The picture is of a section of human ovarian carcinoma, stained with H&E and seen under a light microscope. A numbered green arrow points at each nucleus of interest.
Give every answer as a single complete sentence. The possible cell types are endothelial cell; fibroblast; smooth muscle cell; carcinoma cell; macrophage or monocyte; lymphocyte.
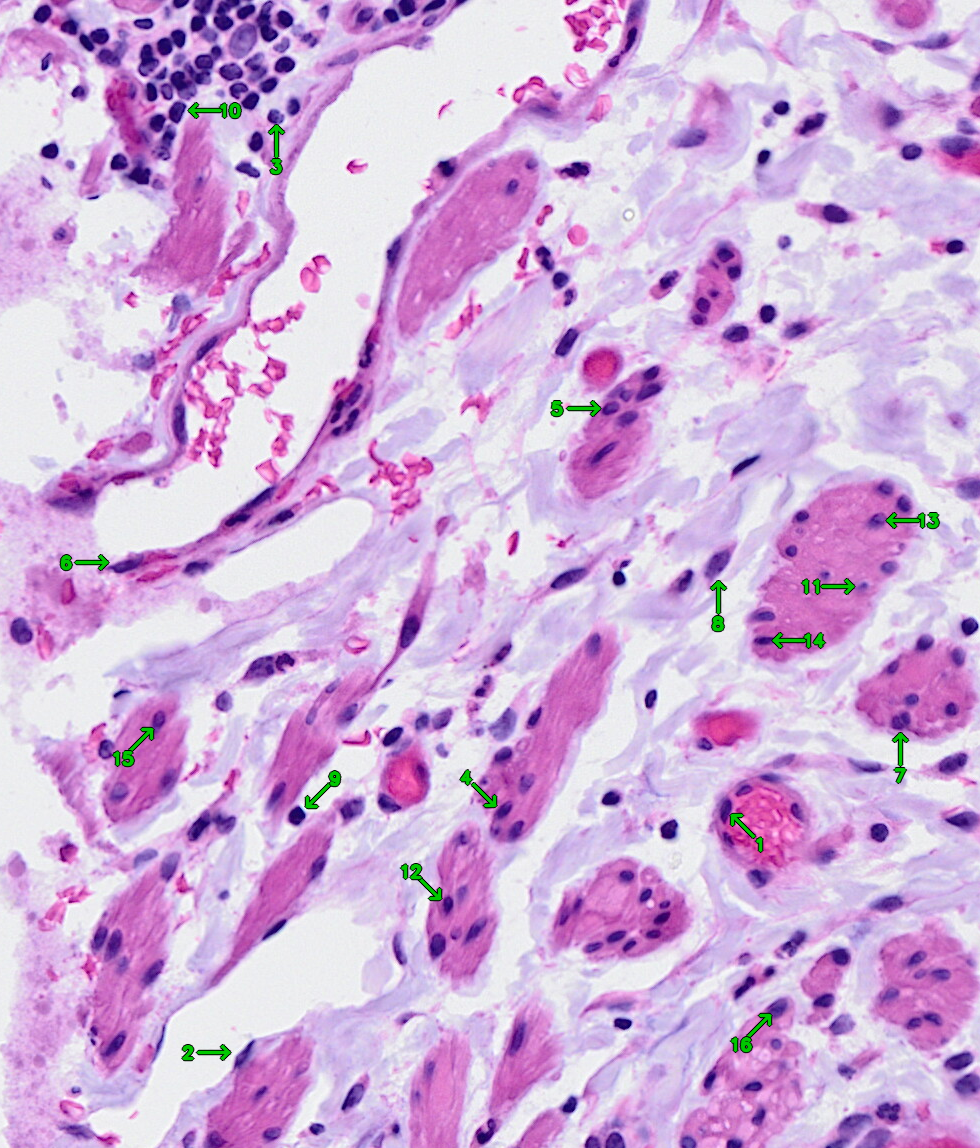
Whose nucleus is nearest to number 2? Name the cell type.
The nearest nucleus to number 2 belongs to a smooth muscle cell.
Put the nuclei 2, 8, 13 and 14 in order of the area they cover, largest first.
By area, largest first, they run 8, 2, 13, 14.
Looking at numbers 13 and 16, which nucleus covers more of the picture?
Of the two, number 16 is bigger and takes up about 1.5 times the area of number 13.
